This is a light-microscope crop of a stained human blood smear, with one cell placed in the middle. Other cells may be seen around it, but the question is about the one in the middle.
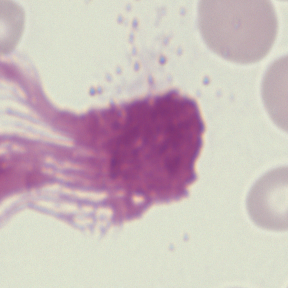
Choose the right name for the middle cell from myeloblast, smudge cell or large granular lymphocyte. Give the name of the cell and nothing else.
smudge cell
